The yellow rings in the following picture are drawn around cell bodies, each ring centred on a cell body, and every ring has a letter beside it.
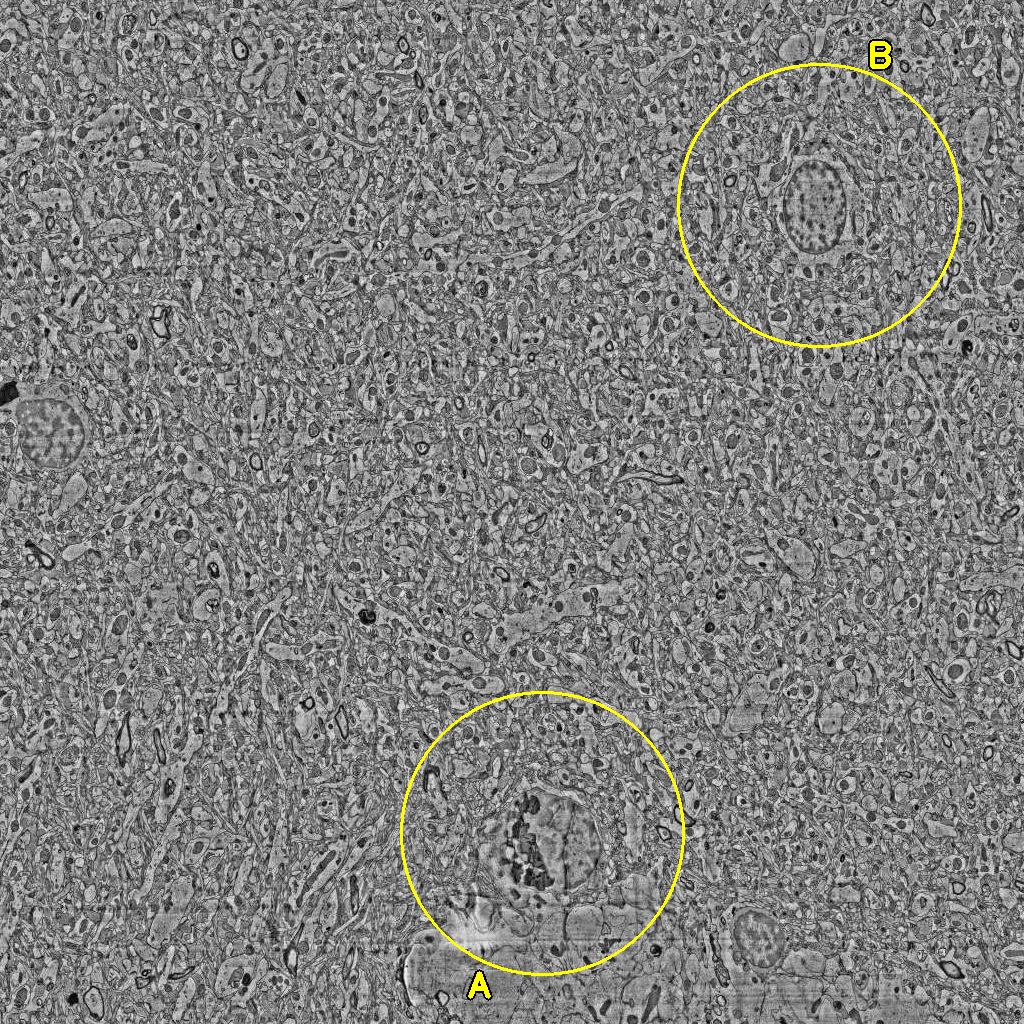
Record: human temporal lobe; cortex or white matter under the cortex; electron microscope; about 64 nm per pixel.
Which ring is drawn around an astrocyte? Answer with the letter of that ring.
B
